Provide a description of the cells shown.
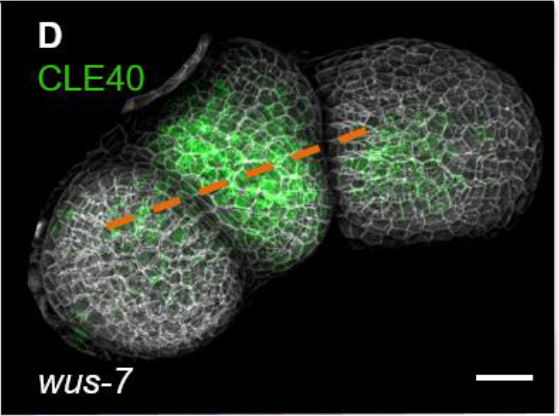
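A shoot apex seen from above, with a central dome between two large rounded bulges, its surface a mesh of small polygonal cells outlined in grey. Green nuclei are dense over the central dome and fainter, scattered ones lie toward the centres of the bulges.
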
